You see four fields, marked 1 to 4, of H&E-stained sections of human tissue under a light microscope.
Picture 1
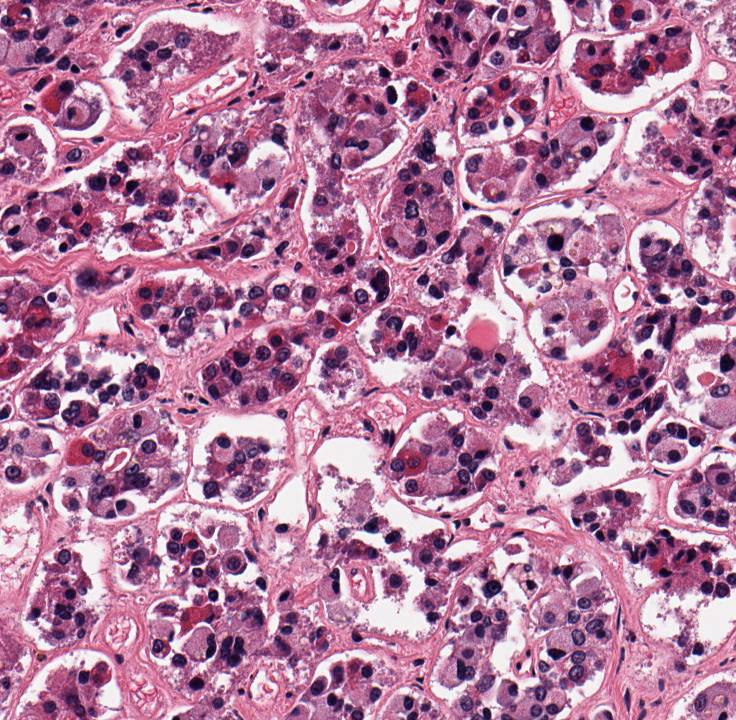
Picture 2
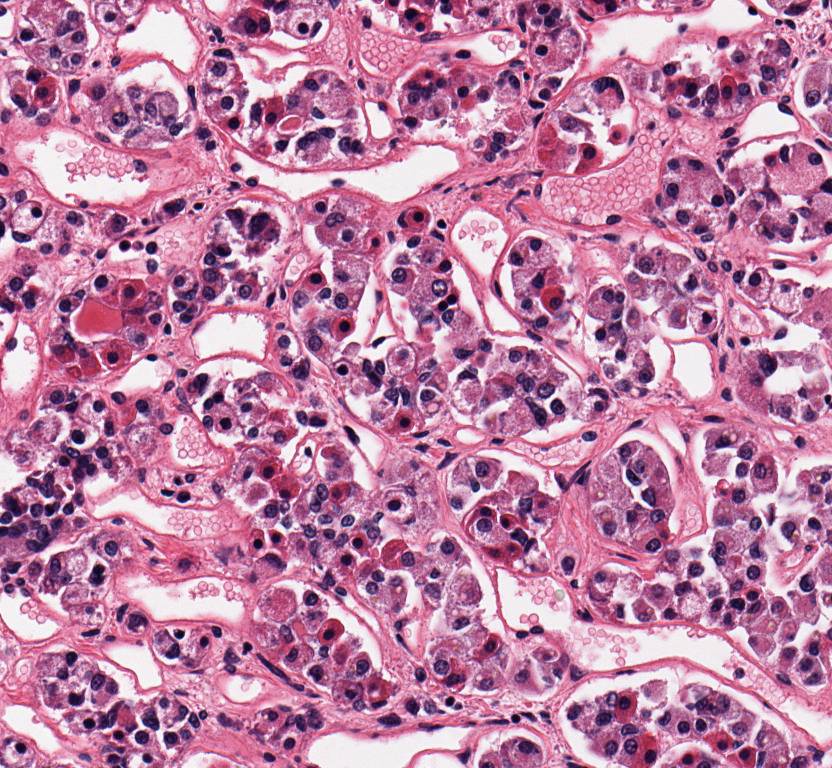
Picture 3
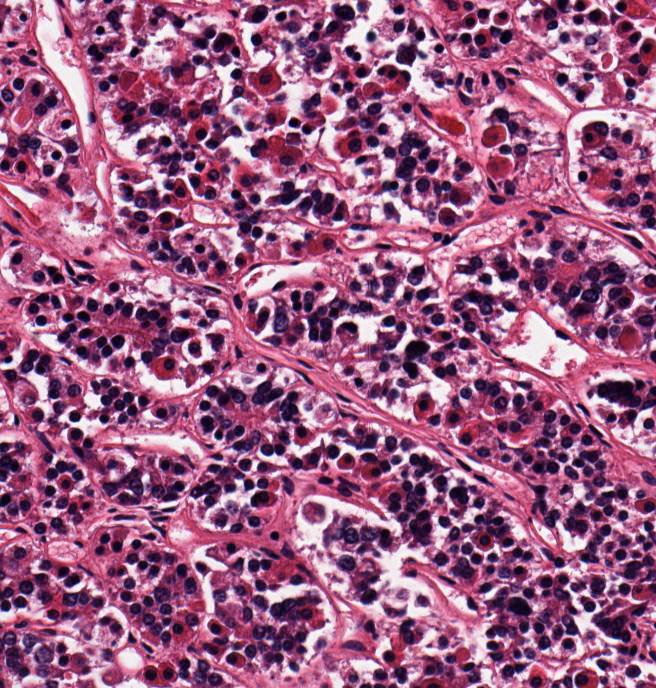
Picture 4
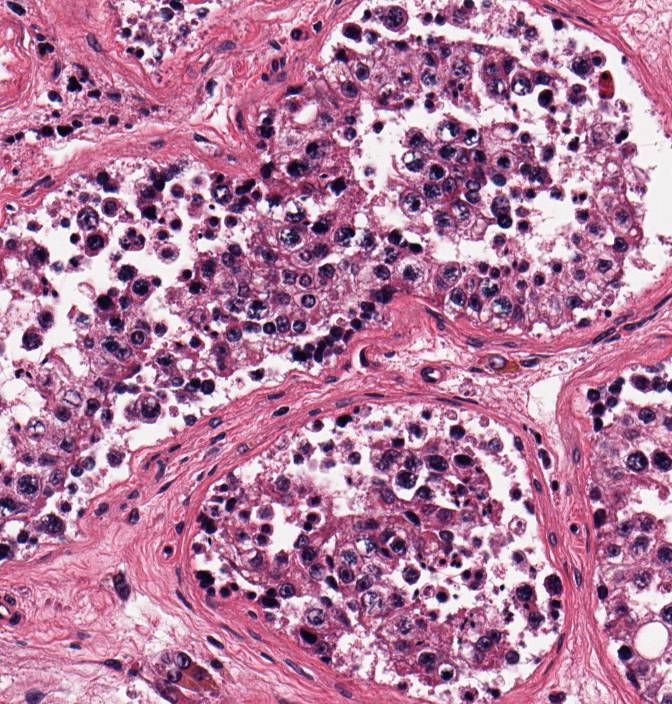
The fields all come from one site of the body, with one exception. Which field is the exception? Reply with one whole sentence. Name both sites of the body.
Unlike the rest, which come from the pituitary, picture 4 comes from the testis.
